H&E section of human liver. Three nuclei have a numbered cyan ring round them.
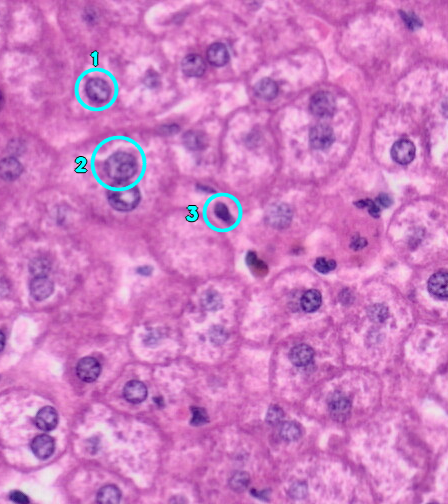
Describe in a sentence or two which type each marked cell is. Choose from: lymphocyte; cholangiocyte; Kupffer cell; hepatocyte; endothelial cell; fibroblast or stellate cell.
Cells 1 and 2 are hepatocytes. Cell 3 is a lymphocyte.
